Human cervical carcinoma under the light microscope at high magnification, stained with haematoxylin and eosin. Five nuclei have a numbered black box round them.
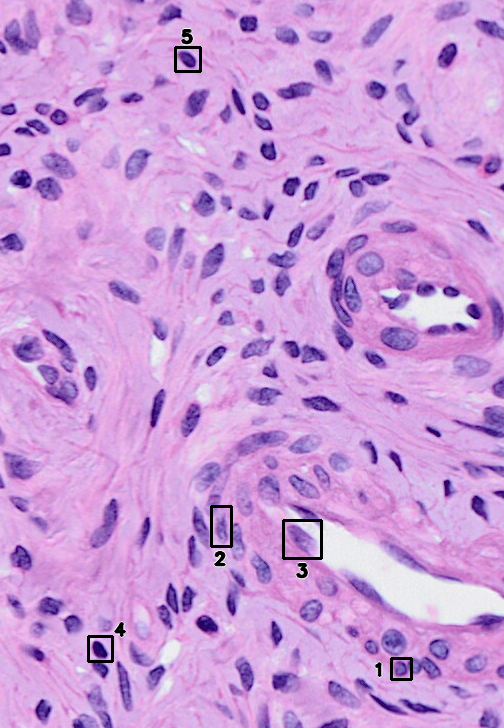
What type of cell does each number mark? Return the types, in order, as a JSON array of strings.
["smooth muscle cell", "smooth muscle cell", "endothelial cell", "lymphocyte", "fibroblast"]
